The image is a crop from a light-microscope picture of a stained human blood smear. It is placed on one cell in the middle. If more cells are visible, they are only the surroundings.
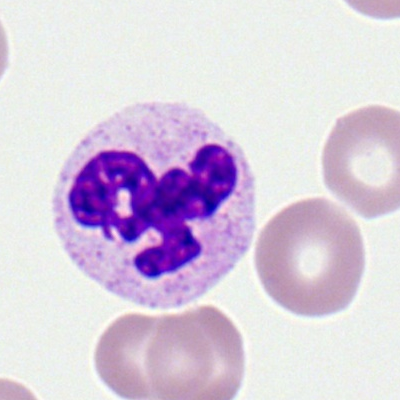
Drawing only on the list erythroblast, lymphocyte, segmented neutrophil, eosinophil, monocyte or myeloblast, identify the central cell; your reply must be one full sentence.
The cell in the exact centre of the crop is a segmented neutrophil.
